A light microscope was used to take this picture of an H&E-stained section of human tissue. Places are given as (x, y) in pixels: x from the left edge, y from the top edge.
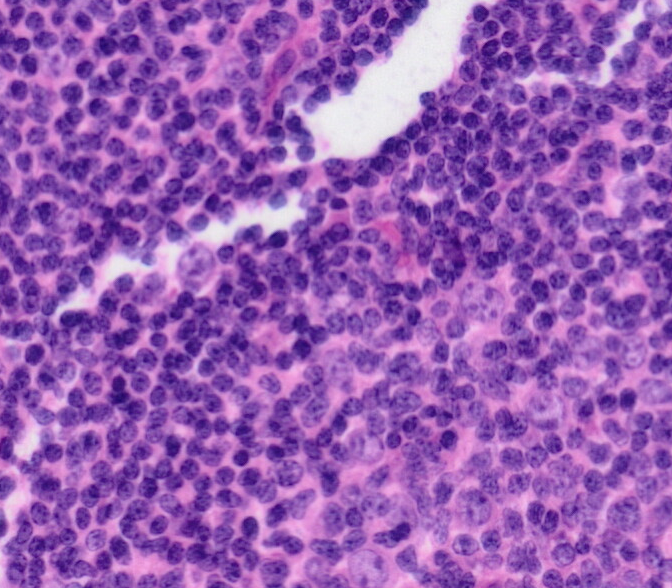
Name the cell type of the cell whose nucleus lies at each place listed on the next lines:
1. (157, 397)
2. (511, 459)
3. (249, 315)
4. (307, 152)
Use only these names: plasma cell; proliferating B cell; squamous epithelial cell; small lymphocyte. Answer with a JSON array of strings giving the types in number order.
["small lymphocyte", "proliferating B cell", "small lymphocyte", "small lymphocyte"]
